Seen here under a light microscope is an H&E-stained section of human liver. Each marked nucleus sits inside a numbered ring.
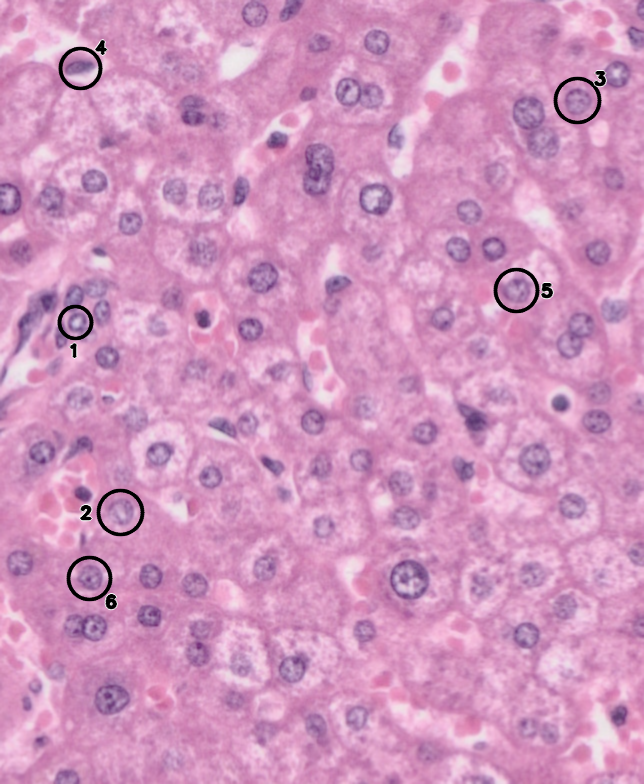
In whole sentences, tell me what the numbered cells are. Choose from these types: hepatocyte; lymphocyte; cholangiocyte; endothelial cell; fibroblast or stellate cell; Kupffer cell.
Cell 1 is a cholangiocyte, cell 2 is a hepatocyte, cell 3 is a hepatocyte, cell 4 is a Kupffer cell, cell 5 is a hepatocyte and cell 6 is a hepatocyte.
